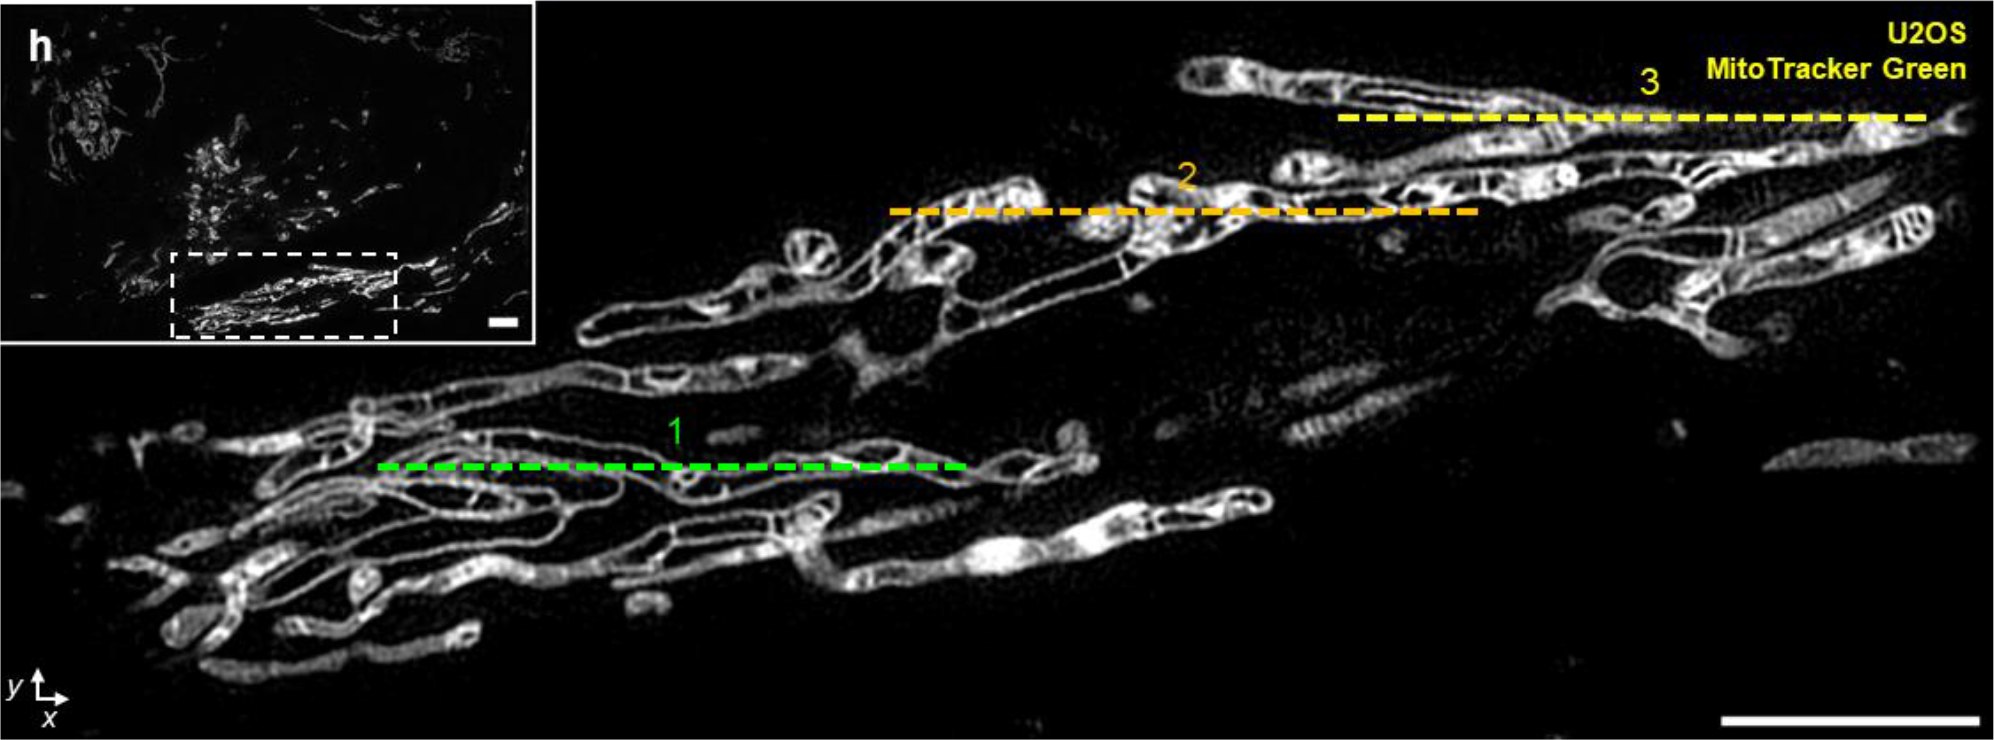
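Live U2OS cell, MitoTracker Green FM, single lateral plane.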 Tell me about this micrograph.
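Many elongated, sometimes branching mitochondria lie roughly parallel across the cell, each with a bright rim and crossed inside by thin bright bars and loops that divide the interior into small compartments. Some segments are swollen and bulbous, others thin and tubular, and a smaller inset shows the whole cell with the mitochondrial network scattered through it. The internal bars are the inner mitochondrial substructure.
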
